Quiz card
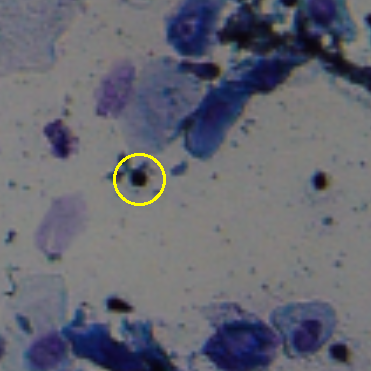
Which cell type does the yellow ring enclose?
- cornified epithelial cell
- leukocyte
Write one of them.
leukocyte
